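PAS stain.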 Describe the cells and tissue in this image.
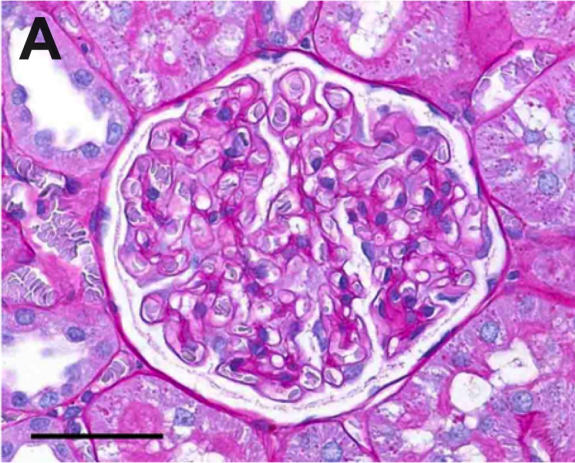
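This is kidney cortex with a single glomerulus surrounded by tubules. The glomerular tuft is round and fills most of its capsule, with many open capillary loops outlined by thin magenta basement membranes and scattered dark blue-purple nuclei. A narrow clear space separates the tuft from the thin capsule wall. The surrounding tubules are lined by cuboidal epithelial cells with pale pink, finely granular cytoplasm and round blue nuclei, some lumens open and clear.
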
